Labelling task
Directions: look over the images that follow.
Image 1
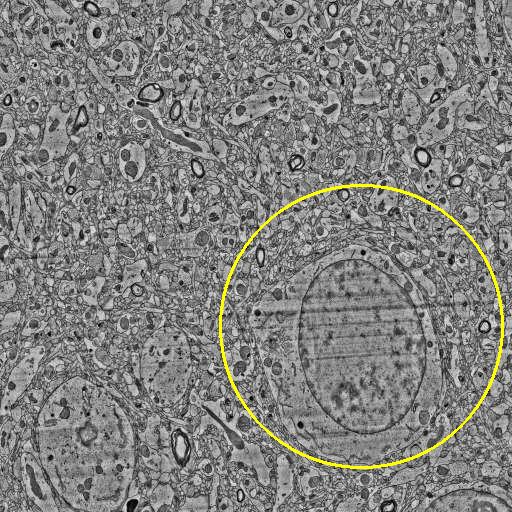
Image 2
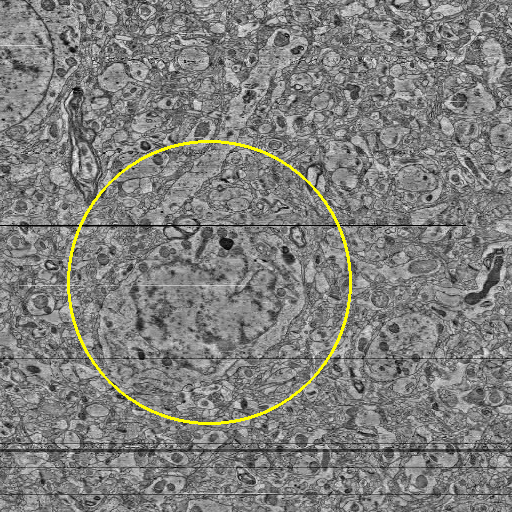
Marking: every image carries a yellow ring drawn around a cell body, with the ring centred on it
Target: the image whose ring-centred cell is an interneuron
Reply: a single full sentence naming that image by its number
The requested cell sits at the ring's centre in Image 2.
